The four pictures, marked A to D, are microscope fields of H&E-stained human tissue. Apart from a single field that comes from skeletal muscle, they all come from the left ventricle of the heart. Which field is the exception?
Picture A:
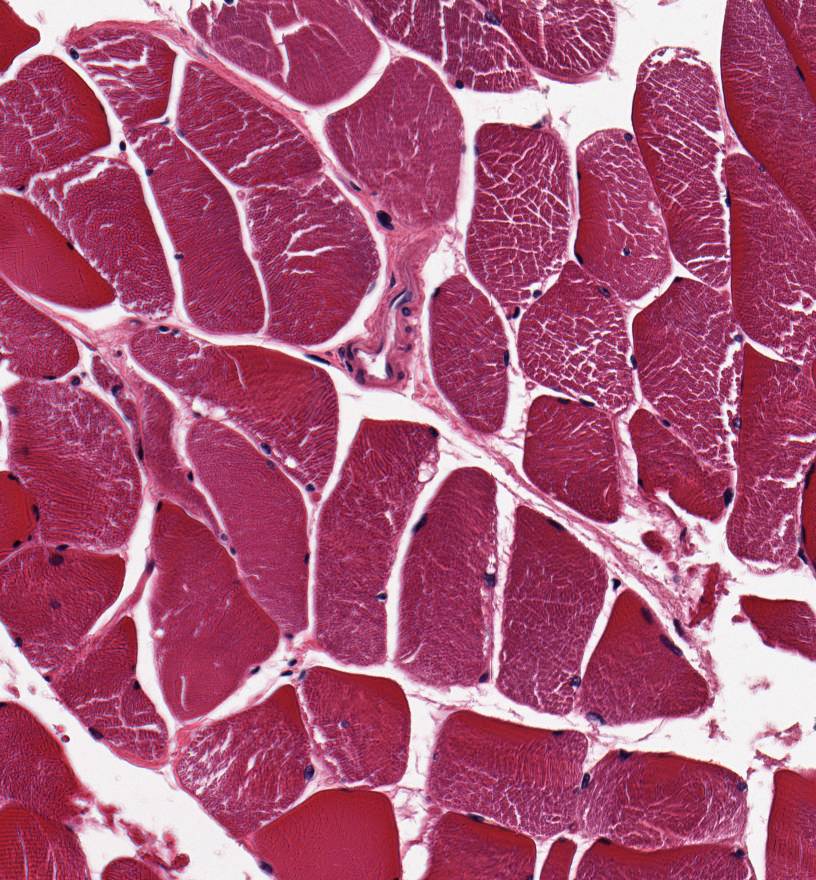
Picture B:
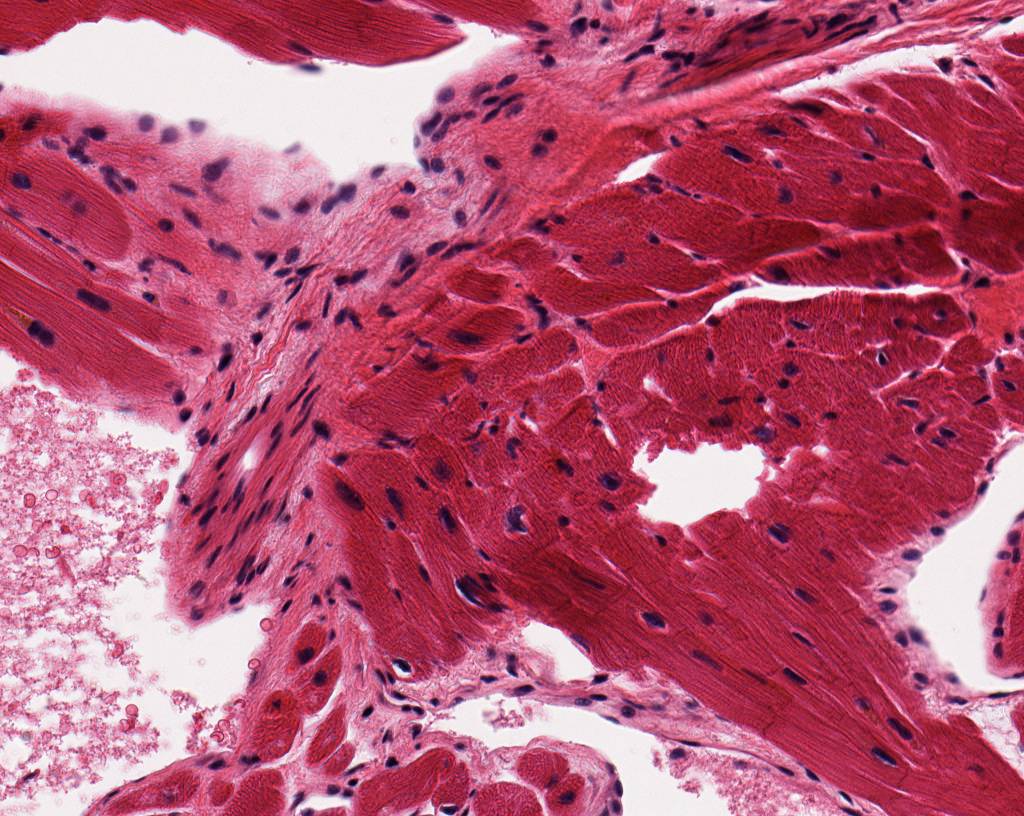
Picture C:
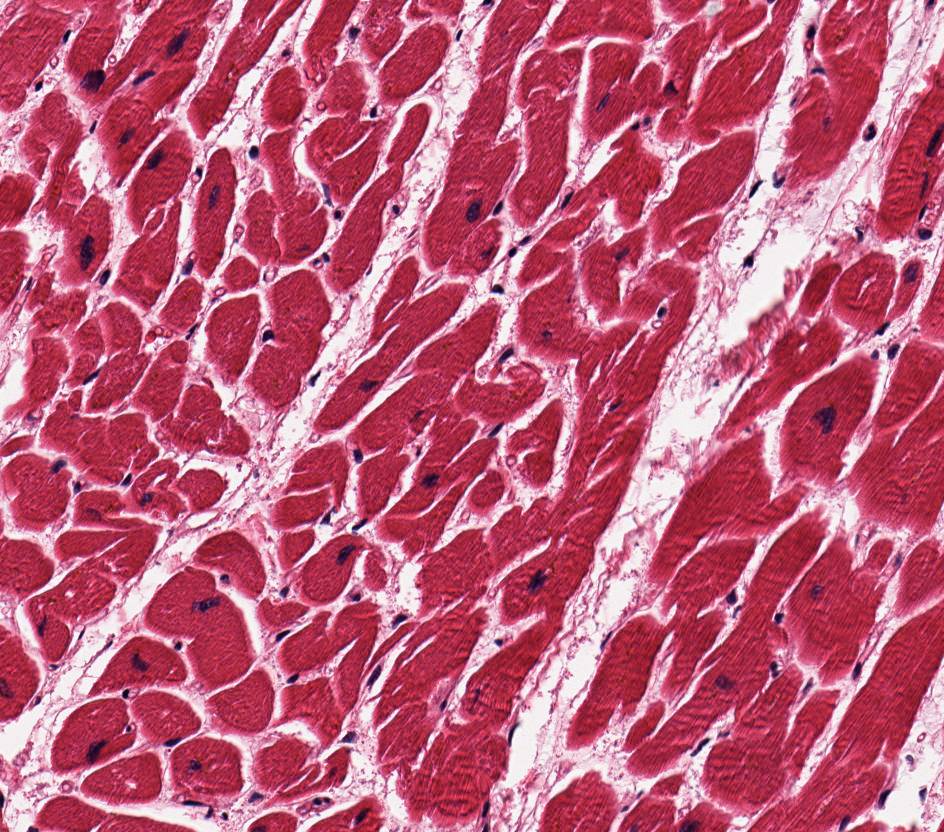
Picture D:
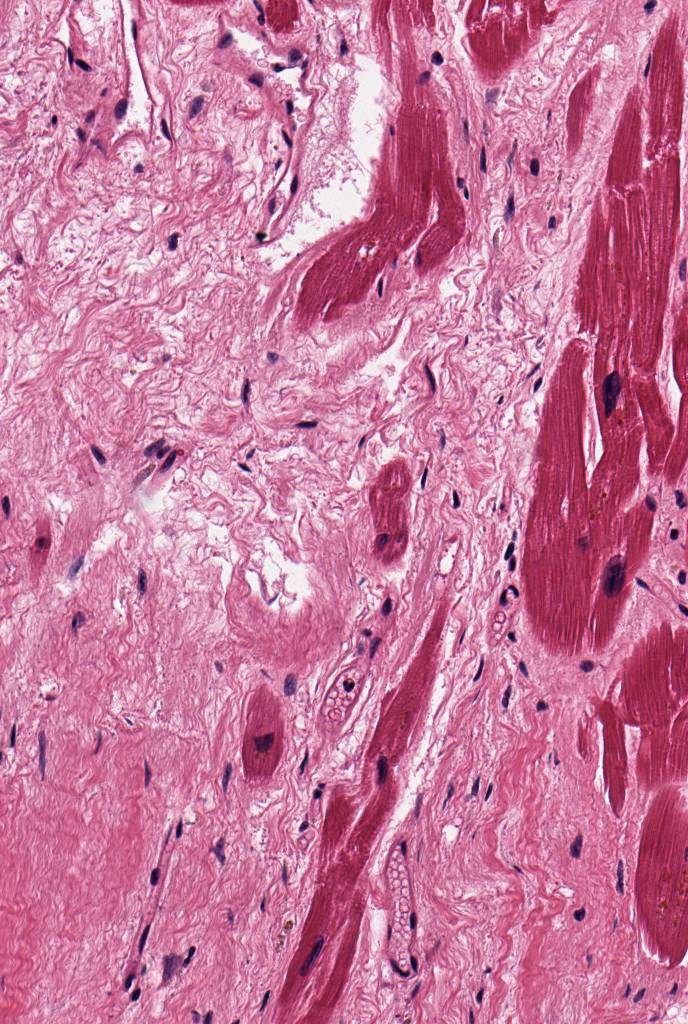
A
